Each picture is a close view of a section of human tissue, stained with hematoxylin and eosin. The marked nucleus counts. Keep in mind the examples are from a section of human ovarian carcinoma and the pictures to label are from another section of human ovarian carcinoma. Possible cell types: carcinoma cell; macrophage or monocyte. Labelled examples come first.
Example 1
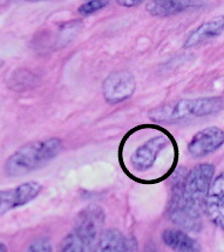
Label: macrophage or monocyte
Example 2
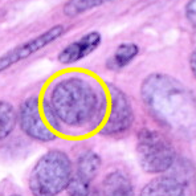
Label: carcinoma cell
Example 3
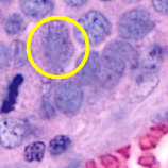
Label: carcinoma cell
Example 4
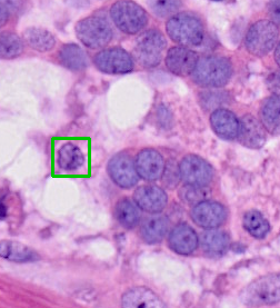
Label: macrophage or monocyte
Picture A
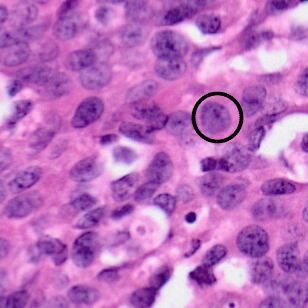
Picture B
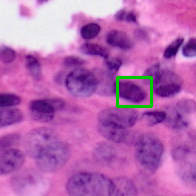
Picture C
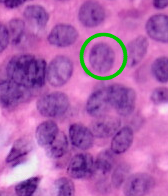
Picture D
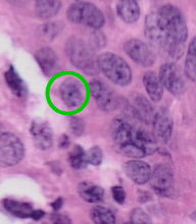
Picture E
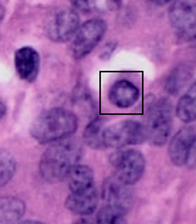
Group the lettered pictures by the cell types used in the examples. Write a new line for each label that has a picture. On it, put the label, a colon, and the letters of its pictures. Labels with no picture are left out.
carcinoma cell: A, B, C
macrophage or monocyte: D, E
